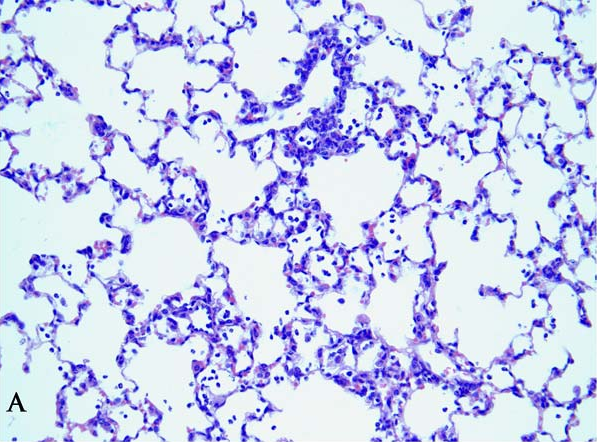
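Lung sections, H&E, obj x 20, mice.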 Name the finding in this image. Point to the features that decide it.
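Mild alveolitis. Alveolar spaces are largely open and air-filled. Scattered small round cells lie in the septa and in some alveolar spaces.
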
